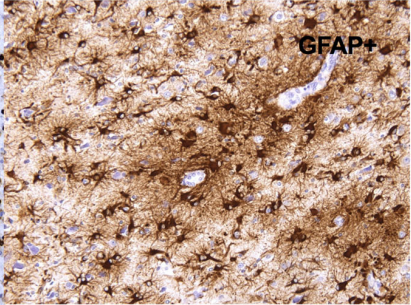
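This brain tissue shows severe gliosis, with many brown-stained reactive astrocytes spread through the field. The astrocytes have stellate bodies from which numerous thick, branching processes radiate in all directions. Their processes form a dense brown fibrillary meshwork that fills the background between cells. Processes converge onto the wall of a blood vessel crossing the upper part of the field. Pale unstained cell bodies with blue nuclei lie within the brown network.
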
